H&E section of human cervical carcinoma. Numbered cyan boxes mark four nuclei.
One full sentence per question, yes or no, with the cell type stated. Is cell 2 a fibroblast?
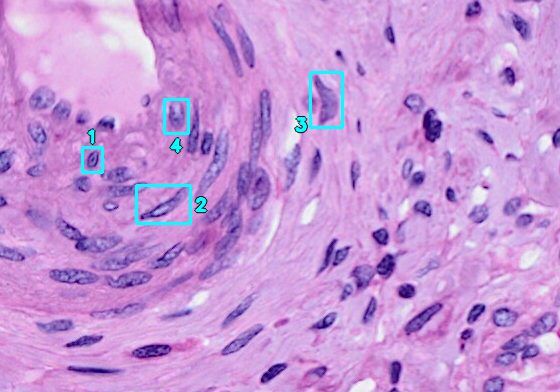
No, the cell tagged 2 is a smooth muscle cell, and not a fibroblast.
